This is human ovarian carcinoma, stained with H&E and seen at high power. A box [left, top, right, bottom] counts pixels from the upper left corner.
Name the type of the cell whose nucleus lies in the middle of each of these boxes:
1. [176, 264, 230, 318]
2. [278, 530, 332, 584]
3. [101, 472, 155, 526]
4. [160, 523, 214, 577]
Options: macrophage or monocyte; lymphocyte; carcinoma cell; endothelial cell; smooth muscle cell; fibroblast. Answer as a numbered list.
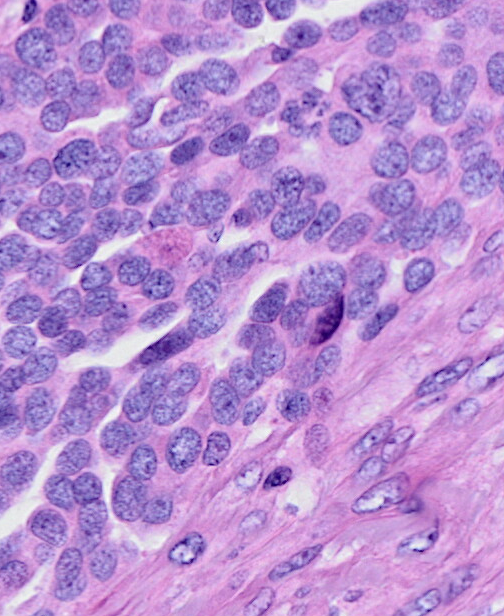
1. carcinoma cell
2. fibroblast
3. carcinoma cell
4. fibroblast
